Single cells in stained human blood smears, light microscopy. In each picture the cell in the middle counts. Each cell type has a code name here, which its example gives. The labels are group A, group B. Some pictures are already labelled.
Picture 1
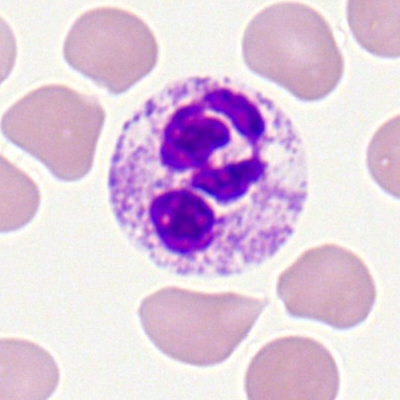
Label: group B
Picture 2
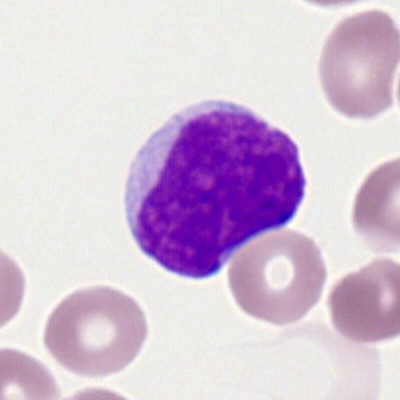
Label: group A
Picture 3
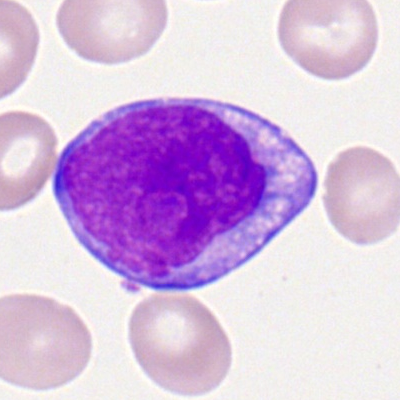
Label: group A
